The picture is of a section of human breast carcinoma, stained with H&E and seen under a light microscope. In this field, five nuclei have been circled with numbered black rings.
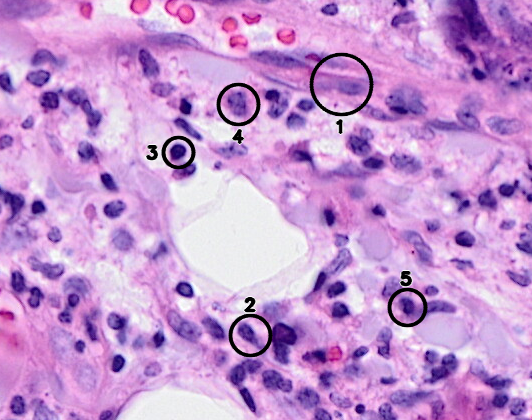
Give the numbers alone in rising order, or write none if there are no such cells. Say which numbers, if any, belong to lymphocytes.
2, 3, 5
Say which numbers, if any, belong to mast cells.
4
